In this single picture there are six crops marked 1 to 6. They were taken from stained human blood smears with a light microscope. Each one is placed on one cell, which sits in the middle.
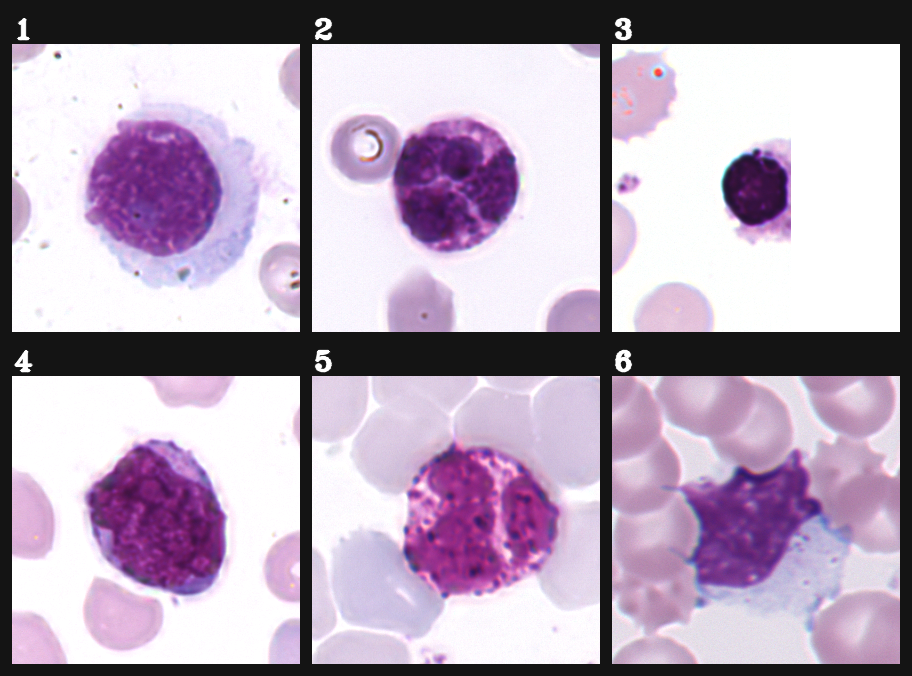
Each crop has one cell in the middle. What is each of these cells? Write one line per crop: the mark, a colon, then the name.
1: plasma cell
2: basophil
3: erythroblast
4: atypical promyelocyte
5: basophil
6: large granular lymphocyte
